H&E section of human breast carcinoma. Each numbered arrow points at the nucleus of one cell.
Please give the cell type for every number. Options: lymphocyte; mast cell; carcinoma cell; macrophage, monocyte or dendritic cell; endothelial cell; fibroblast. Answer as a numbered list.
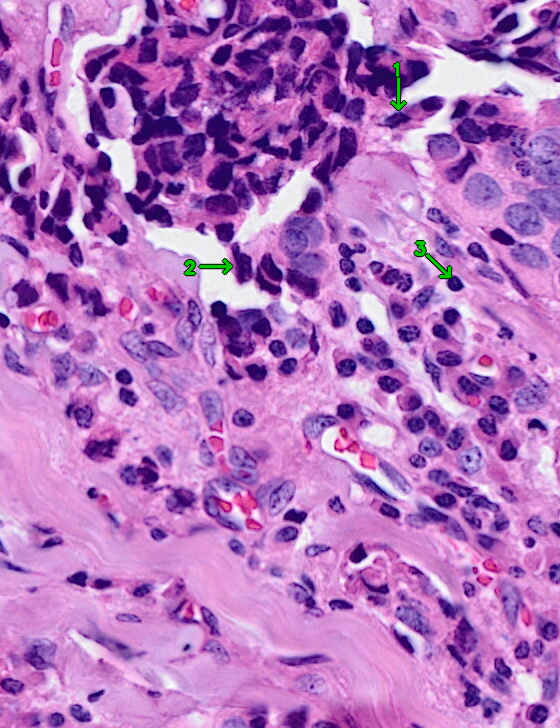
1. carcinoma cell
2. carcinoma cell
3. lymphocyte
